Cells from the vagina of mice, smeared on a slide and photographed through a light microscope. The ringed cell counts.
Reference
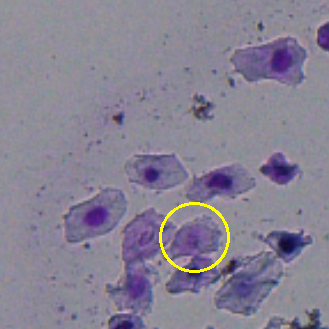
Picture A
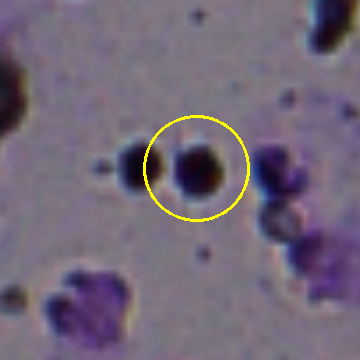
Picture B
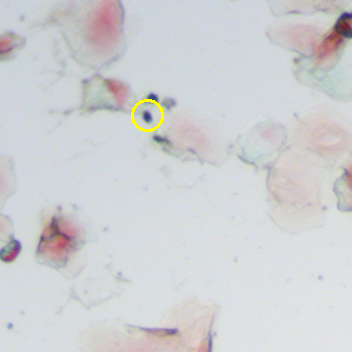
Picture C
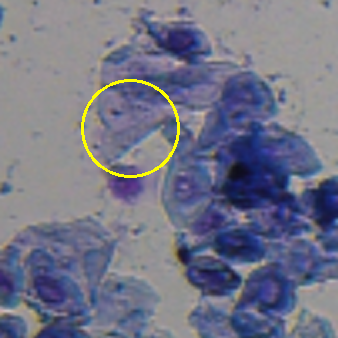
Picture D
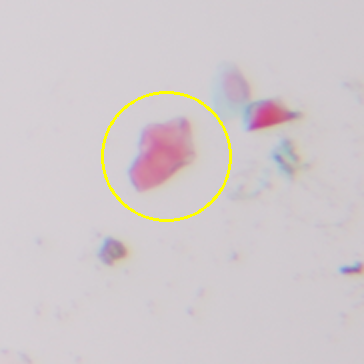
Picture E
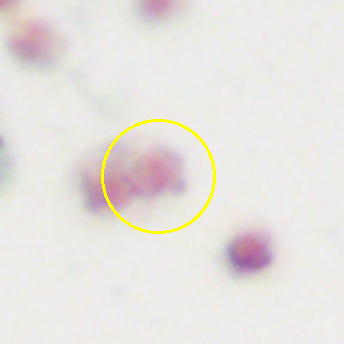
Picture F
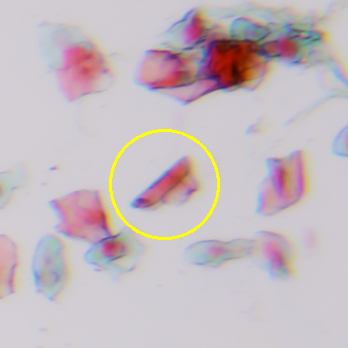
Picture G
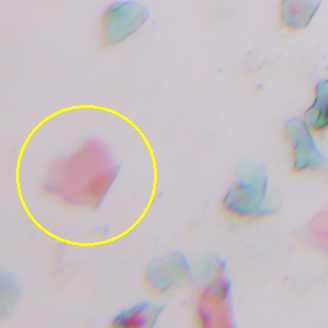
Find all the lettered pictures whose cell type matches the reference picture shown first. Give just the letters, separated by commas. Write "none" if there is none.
C, D, F, G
